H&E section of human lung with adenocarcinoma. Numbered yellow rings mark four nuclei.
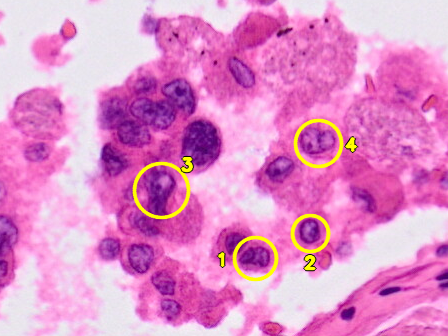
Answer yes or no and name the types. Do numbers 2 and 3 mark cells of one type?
No, mate, cell 2 is a macrophage or monocyte and cell 3 is a carcinoma cell.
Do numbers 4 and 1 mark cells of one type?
Yes, briefly put, cells 4 and 1 are both macrophages or monocytes.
